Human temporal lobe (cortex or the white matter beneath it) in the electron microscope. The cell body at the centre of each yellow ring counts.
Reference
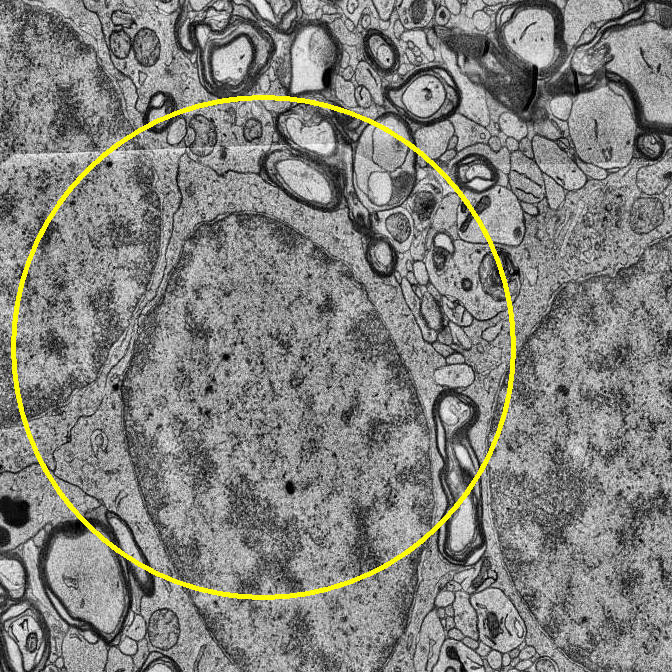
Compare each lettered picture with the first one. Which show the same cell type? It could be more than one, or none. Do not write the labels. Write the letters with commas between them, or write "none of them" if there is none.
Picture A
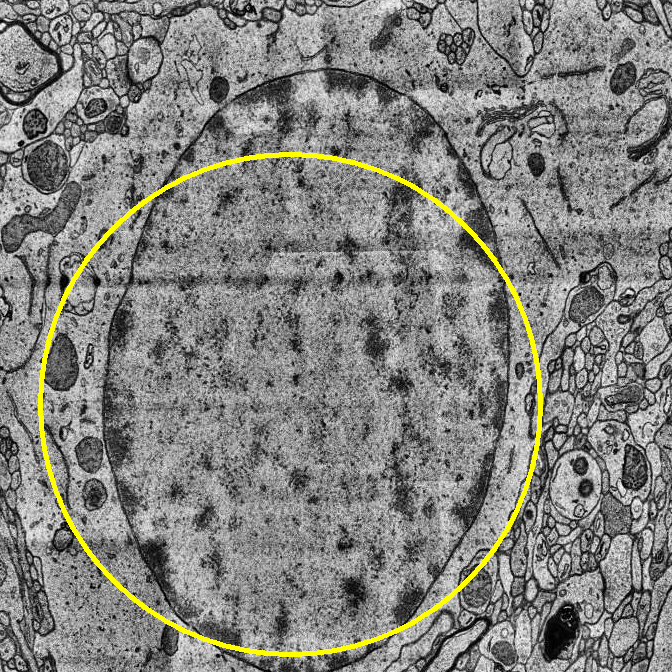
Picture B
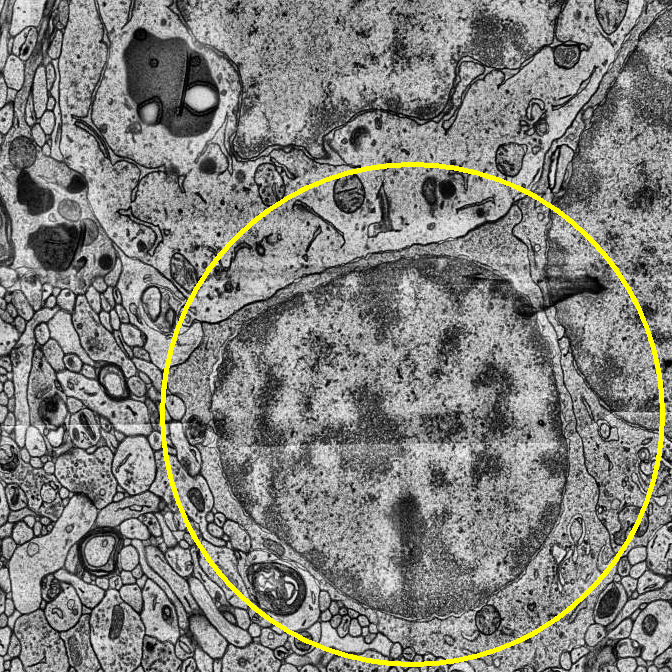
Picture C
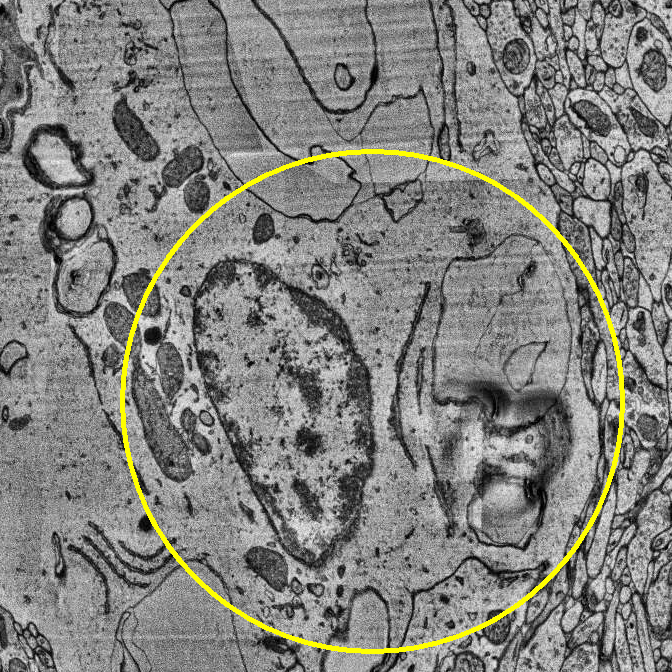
B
